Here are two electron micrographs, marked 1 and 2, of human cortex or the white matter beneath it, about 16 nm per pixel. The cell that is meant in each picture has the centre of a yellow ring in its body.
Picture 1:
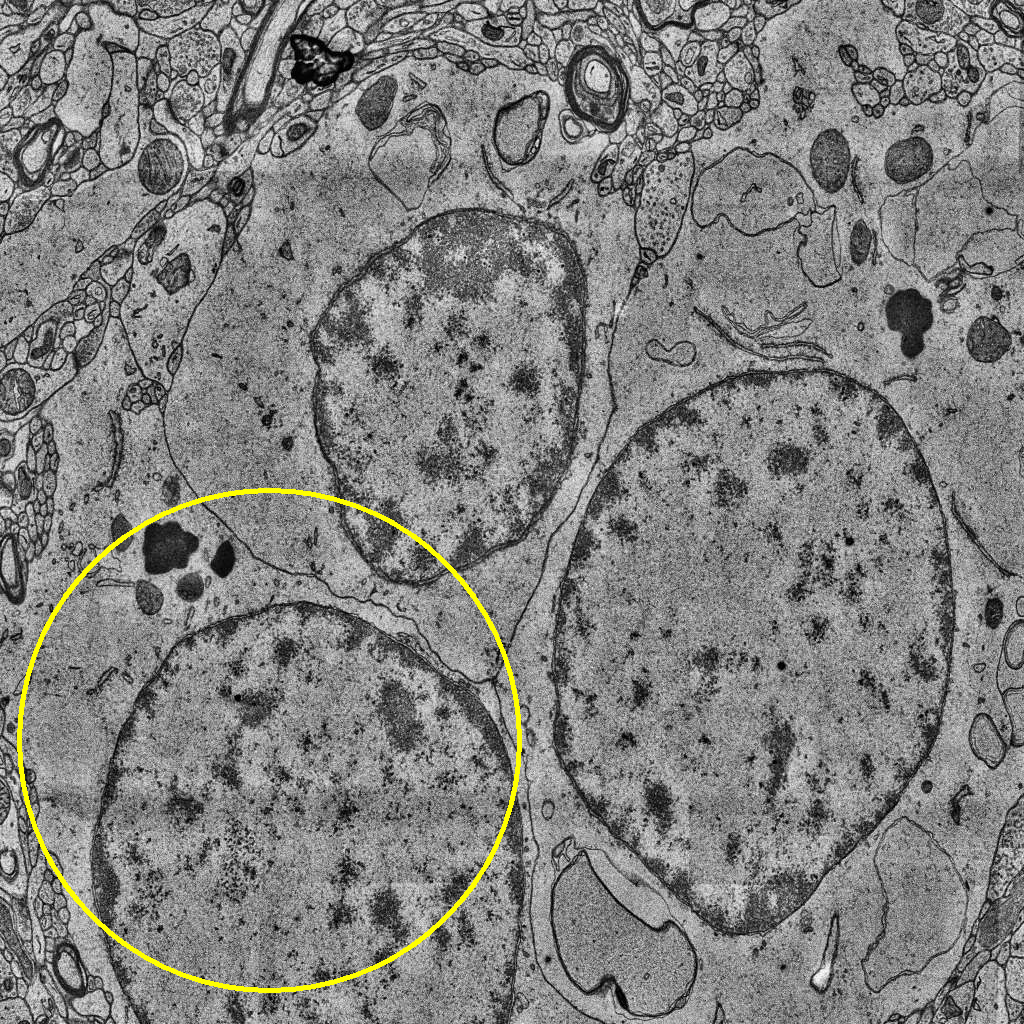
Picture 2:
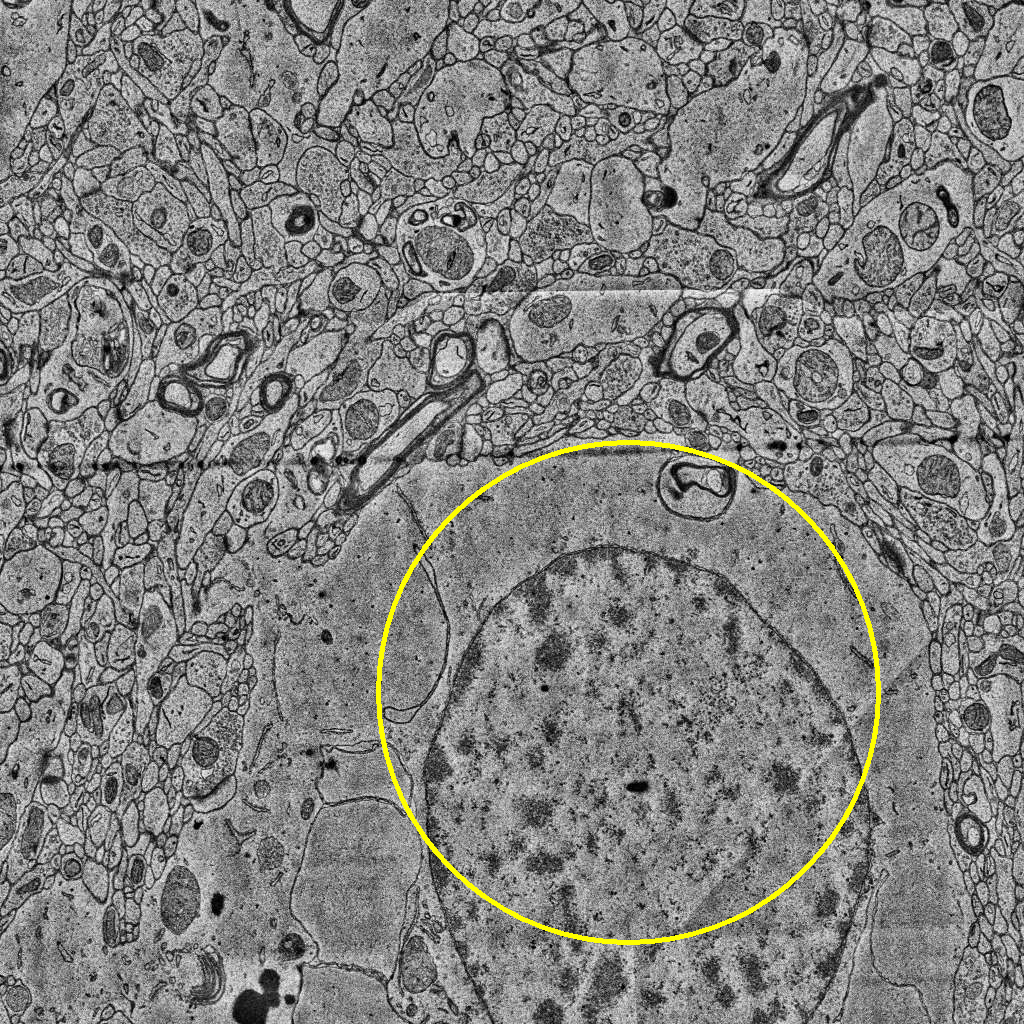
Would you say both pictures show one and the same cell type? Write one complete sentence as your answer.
Yes, both are astrocytes.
